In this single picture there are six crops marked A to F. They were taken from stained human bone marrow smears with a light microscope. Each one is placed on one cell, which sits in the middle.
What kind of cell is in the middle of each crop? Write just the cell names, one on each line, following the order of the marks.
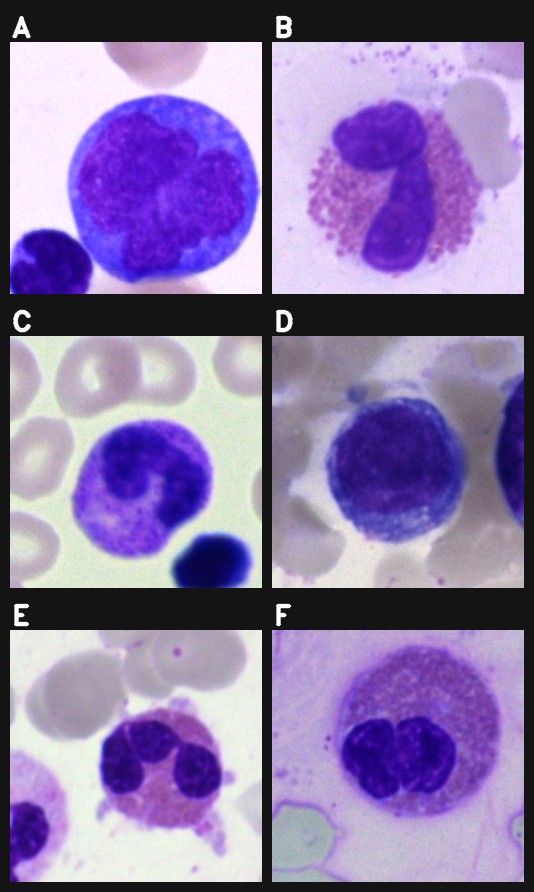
blast
eosinophil
band neutrophil
blast
eosinophil
eosinophil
